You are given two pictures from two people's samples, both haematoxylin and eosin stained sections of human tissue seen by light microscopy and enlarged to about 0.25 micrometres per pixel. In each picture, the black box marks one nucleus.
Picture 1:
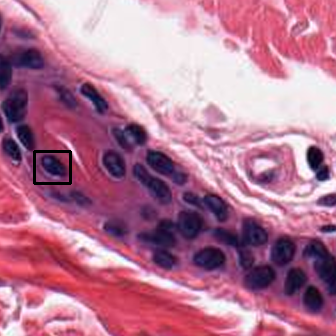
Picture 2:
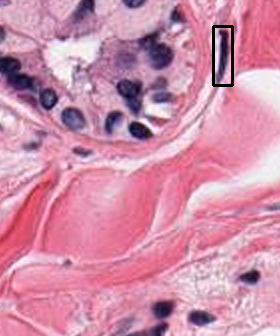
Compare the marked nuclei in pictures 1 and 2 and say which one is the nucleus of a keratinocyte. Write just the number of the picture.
1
